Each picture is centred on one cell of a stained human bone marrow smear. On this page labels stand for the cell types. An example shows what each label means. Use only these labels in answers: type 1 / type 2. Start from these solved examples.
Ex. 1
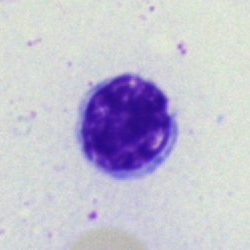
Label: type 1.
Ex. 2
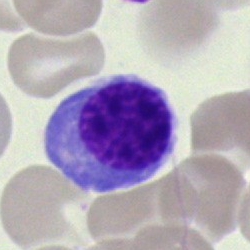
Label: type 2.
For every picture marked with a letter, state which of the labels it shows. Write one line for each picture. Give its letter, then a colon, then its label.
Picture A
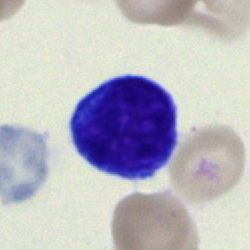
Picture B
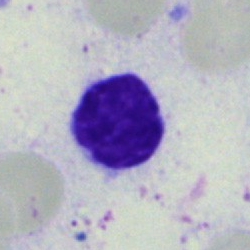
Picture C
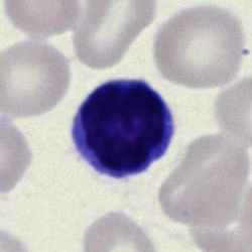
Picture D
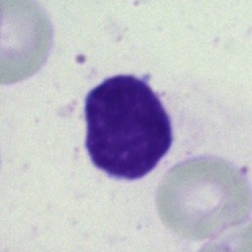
A: type 1.
B: type 1.
C: type 1.
D: type 1.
